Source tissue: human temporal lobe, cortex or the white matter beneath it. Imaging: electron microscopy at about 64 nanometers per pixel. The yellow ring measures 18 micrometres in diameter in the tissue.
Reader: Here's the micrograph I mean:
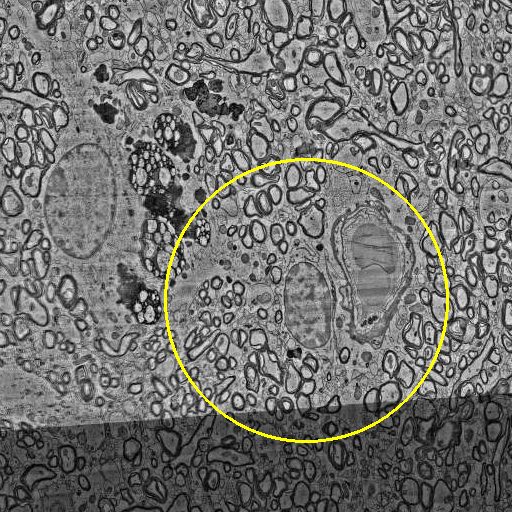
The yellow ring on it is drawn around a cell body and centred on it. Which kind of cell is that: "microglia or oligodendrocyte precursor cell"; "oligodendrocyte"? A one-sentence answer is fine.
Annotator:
The ring is centred on a microglial cell or oligodendrocyte precursor cell.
